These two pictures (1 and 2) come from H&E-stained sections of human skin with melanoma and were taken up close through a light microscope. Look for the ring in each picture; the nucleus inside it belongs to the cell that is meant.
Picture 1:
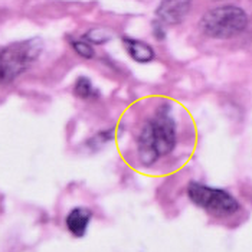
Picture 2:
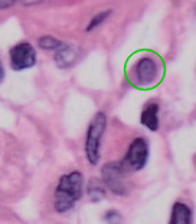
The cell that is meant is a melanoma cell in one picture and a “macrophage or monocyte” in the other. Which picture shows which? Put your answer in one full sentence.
It is picture 1 that shows a melanoma cell, and picture 2 that shows a “macrophage or monocyte”.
